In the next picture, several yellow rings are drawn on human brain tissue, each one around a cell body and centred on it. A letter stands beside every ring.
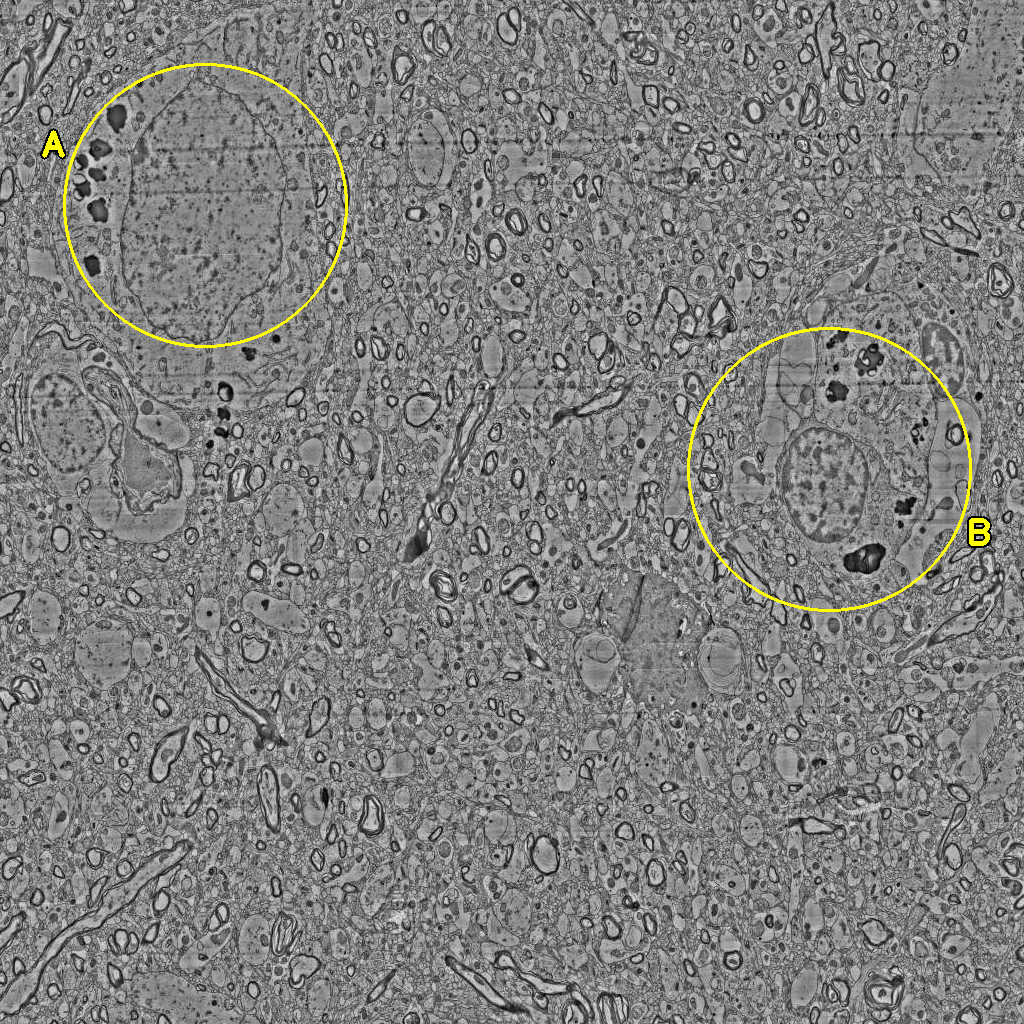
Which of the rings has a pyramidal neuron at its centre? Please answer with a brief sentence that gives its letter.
Ring A has it at its centre.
